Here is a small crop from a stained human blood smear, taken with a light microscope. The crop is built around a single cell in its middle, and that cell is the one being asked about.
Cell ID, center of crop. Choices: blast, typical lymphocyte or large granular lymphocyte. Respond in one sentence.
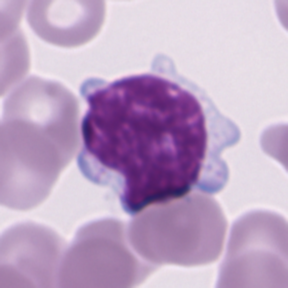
The cell at the heart of this crop is a large granular lymphocyte.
